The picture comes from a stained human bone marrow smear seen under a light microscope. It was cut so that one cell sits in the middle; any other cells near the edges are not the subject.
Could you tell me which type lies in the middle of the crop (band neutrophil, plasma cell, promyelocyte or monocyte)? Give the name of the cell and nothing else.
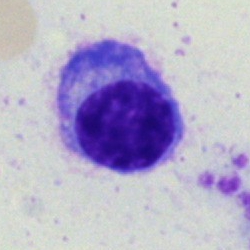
plasma cell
